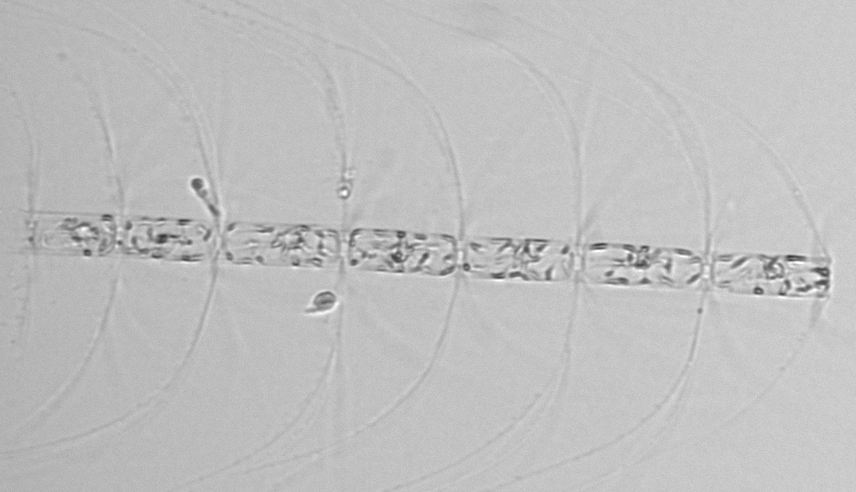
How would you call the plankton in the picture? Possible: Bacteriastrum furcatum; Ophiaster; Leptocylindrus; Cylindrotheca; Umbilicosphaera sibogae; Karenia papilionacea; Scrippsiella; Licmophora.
I would call it Bacteriastrum furcatum.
